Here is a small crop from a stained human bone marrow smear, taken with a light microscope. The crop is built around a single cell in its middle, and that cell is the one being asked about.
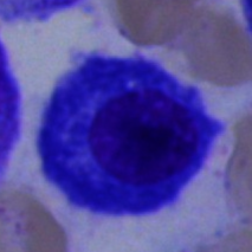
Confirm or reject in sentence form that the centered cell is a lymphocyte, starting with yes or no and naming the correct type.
No, the cell in the middle is recognised as a plasma cell rather than a lymphocyte.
